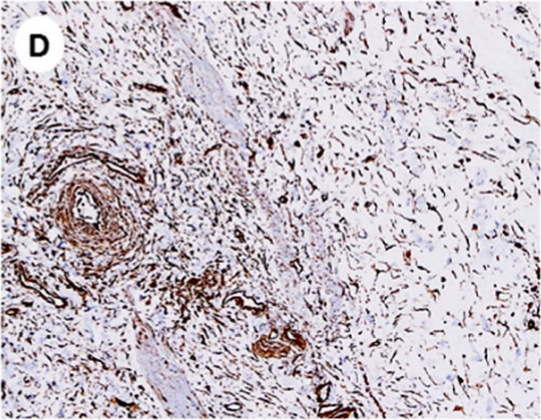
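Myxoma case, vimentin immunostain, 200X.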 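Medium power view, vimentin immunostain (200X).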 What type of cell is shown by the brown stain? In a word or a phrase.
Tumor cells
